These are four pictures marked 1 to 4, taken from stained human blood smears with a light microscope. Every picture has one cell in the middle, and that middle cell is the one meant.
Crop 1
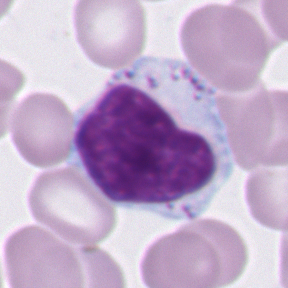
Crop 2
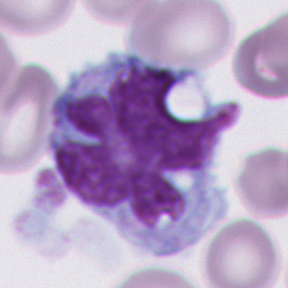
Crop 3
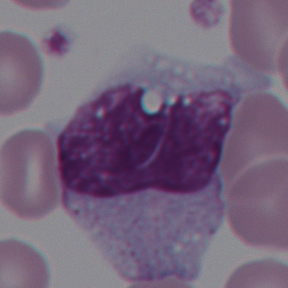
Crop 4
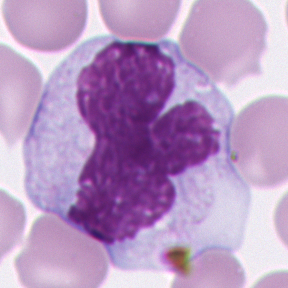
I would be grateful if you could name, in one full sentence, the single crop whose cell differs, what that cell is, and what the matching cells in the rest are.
Crop 1 differs from the others in showing a large granular lymphocyte; the rest all show monocytes.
